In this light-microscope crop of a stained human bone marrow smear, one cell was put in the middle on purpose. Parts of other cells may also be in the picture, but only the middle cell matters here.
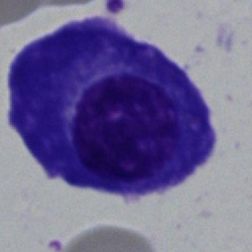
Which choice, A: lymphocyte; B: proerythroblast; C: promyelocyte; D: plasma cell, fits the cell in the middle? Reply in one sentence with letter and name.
The centrally located cell is a plasma cell, making option D the correct choice.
